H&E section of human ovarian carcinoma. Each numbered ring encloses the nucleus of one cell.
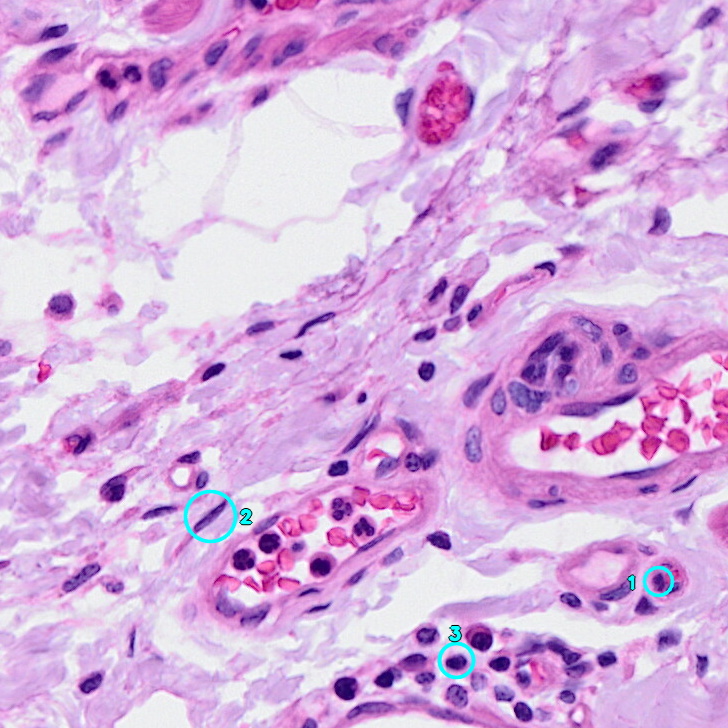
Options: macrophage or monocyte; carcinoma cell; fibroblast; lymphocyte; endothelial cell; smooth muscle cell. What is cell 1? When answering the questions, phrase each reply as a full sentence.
The numeral 1 marks an endothelial cell in this section.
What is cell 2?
Regarding cell 2, this one is a fibroblast.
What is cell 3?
The nucleus labeled 3 belongs to a lymphocyte.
